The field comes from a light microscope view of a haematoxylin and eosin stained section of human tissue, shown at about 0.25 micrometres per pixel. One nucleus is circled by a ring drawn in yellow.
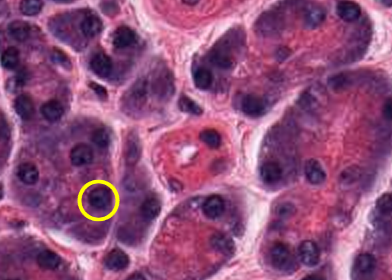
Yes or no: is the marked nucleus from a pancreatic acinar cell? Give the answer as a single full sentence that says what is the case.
Yes, the cell to which the marked nucleus belongs is a pancreatic acinar cell.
